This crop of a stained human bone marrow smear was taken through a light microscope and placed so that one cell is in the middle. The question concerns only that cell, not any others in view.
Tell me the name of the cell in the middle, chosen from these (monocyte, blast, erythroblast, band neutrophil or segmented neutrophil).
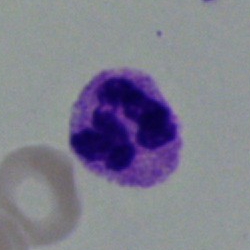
segmented neutrophil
